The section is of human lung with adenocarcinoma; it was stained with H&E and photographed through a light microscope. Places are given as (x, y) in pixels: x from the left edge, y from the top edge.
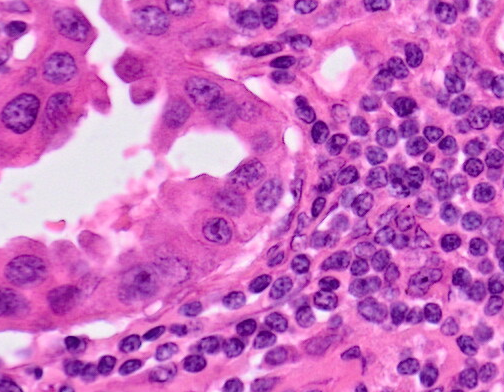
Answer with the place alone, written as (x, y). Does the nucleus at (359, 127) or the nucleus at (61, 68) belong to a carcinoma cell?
(61, 68)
